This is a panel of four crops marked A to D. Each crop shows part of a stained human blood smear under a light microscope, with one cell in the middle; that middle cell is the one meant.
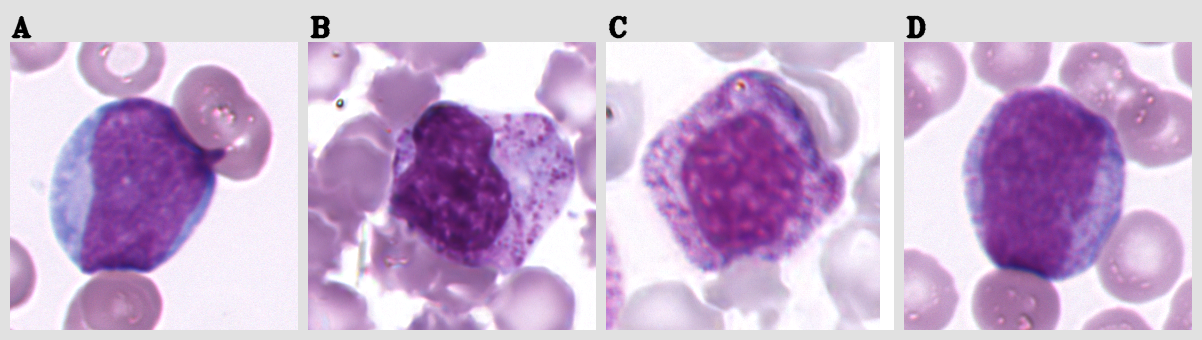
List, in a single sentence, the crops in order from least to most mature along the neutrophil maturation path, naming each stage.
The ordering by maturity, from earliest to most mature, is crop A (a myeloblast), crop D (a promyelocyte), crop C (a myelocyte) and crop B (a metamyelocyte).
